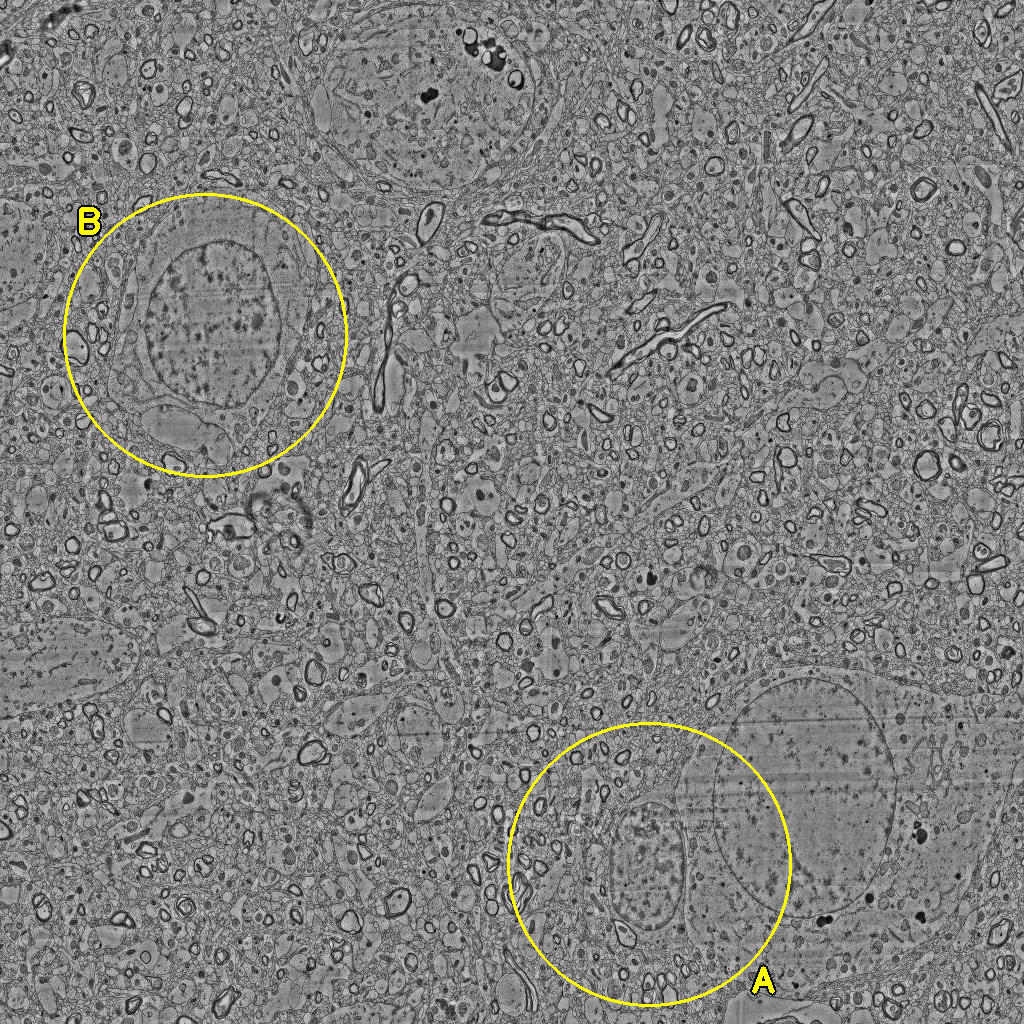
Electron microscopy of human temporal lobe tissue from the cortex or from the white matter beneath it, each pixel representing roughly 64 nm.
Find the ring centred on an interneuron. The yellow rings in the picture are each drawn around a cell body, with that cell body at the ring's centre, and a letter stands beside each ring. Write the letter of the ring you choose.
B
